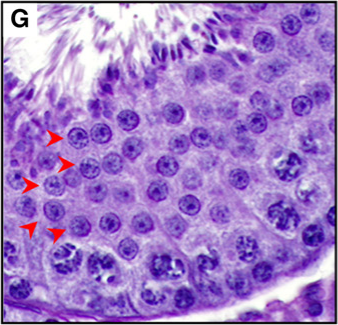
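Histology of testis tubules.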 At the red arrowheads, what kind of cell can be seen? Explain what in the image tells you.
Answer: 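Round spermatids. The arrowheads mark small round cells with round central nuclei. These cells are packed in layers in the inner epithelium, toward the lumen.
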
